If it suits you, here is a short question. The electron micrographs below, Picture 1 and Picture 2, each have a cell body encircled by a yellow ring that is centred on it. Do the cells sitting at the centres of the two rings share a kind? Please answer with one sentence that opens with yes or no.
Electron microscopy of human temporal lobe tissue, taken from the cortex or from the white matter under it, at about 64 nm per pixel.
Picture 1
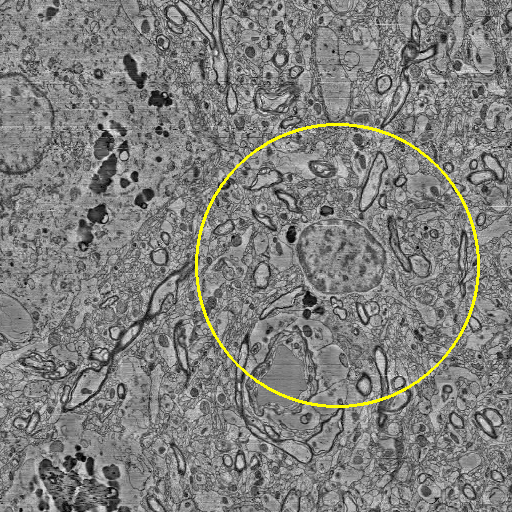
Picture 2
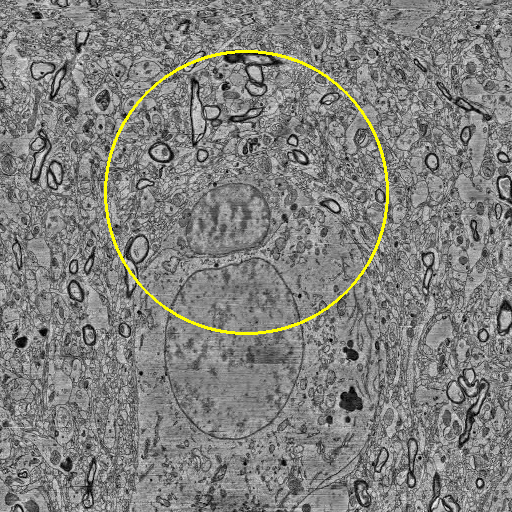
No, the two cells sitting at the ring centres fall into two kinds.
